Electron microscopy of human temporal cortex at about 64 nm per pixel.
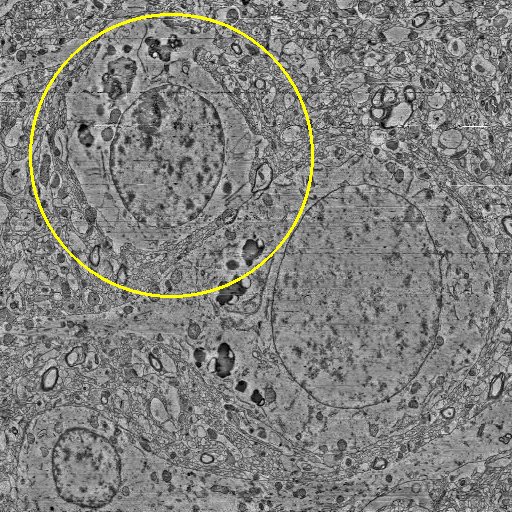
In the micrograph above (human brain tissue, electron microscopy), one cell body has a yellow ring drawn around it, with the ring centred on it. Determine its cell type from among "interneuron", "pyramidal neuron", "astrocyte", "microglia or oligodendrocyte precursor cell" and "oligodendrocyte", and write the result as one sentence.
The cell whose body is ringed is an astrocyte.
